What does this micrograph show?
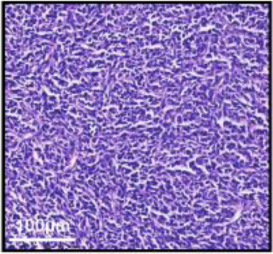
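Solid tumor tissue made of densely packed cells in a continuous sheet. Nuclei are dark purple, ovoid to elongated and crowded, with scant pale cytoplasm between them.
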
